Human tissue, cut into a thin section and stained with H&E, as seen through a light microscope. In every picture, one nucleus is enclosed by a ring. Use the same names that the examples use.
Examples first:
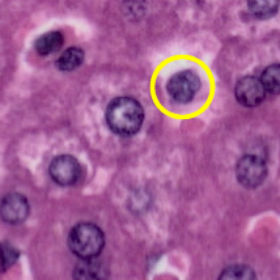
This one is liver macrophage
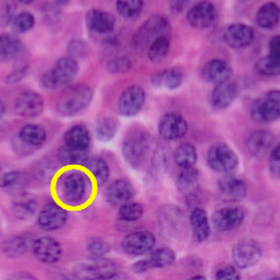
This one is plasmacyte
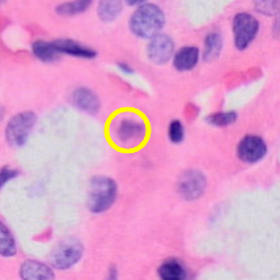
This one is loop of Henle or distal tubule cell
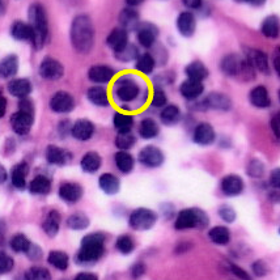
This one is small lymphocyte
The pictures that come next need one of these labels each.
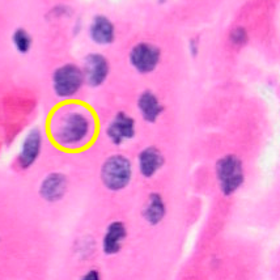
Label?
loop of Henle or distal tubule cell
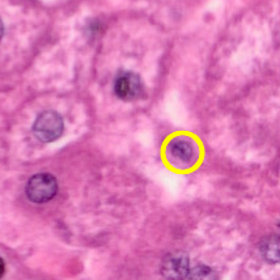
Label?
liver macrophage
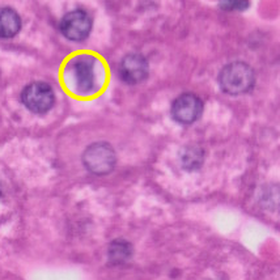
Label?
liver macrophage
